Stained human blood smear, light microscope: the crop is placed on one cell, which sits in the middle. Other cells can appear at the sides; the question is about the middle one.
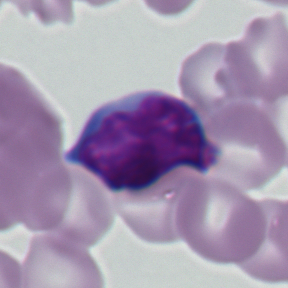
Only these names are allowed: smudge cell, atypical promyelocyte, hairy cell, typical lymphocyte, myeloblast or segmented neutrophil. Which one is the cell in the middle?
typical lymphocyte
